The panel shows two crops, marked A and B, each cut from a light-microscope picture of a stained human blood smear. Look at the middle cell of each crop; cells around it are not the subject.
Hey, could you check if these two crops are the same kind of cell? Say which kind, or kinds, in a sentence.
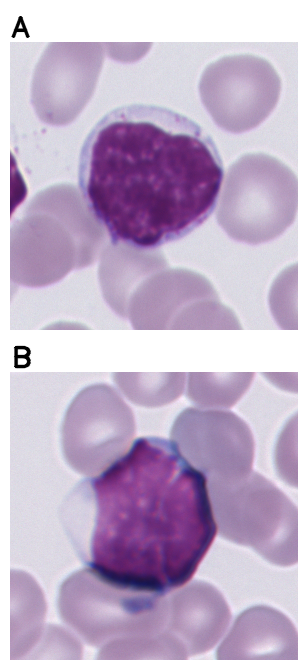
Yes, the cells placed at the centre of both crops are large granular lymphocytes.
